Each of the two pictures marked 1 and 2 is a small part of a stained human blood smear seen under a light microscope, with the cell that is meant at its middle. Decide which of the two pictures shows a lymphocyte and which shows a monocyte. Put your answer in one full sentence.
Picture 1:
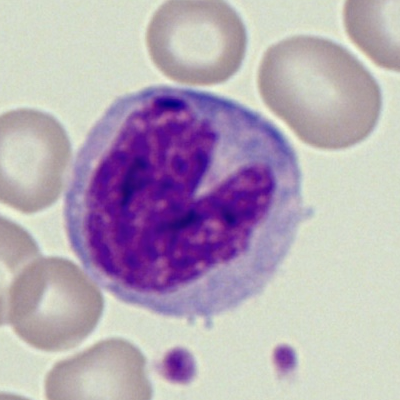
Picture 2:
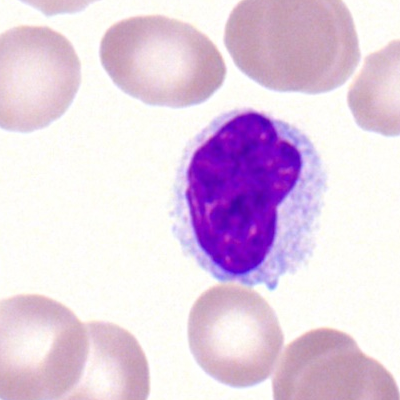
Picture 1 is of a monocyte, and picture 2 is of a lymphocyte.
